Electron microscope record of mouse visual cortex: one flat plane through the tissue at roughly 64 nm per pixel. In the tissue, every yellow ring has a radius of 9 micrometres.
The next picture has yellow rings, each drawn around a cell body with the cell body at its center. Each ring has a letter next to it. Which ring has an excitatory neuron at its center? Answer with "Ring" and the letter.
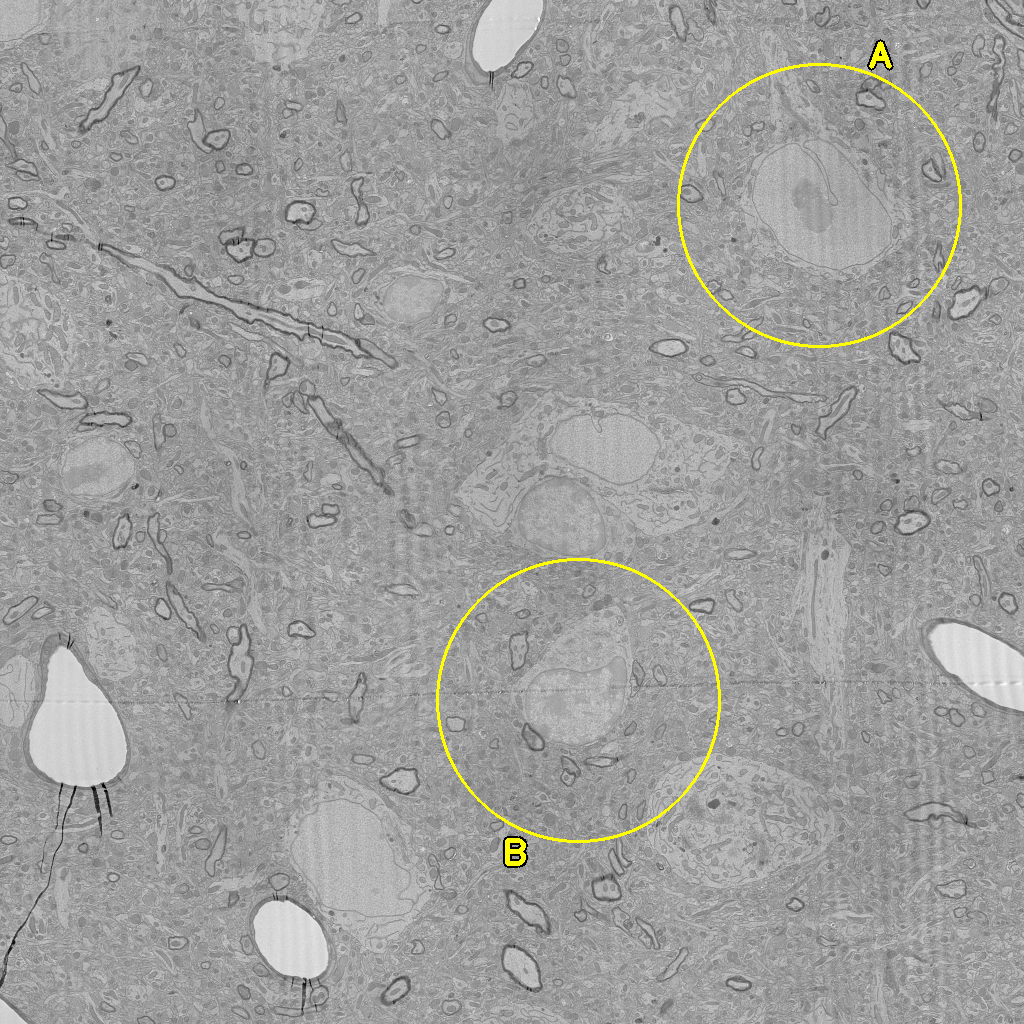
Ring A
